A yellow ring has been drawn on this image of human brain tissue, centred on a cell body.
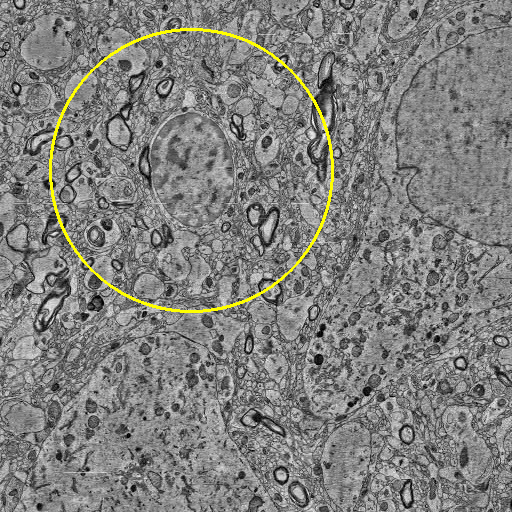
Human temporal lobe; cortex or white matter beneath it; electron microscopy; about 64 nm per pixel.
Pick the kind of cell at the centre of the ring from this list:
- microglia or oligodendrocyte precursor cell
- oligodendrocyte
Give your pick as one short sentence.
The centre of the ring holds a microglial cell or oligodendrocyte precursor cell.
